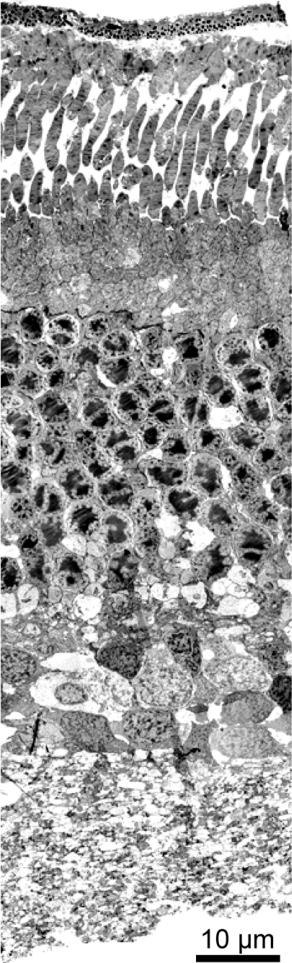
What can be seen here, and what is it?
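This transverse section of retina shows its layers from the pigment epithelium at the top, a dark band of dense granules, down to the inner plexiform layer at the bottom. Beneath the pigment epithelium the photoreceptor outer segments appear as elongated, stacked profiles, followed by a granular band of inner segments and then the thickest layer, the outer nuclear layer, packed with round photoreceptor nuclei showing clumped dark chromatin. Below a thin outer plexiform layer, the inner nuclear layer holds larger, paler nuclei, and the inner plexiform layer is a fine-textured neuropil of many small profiles.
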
